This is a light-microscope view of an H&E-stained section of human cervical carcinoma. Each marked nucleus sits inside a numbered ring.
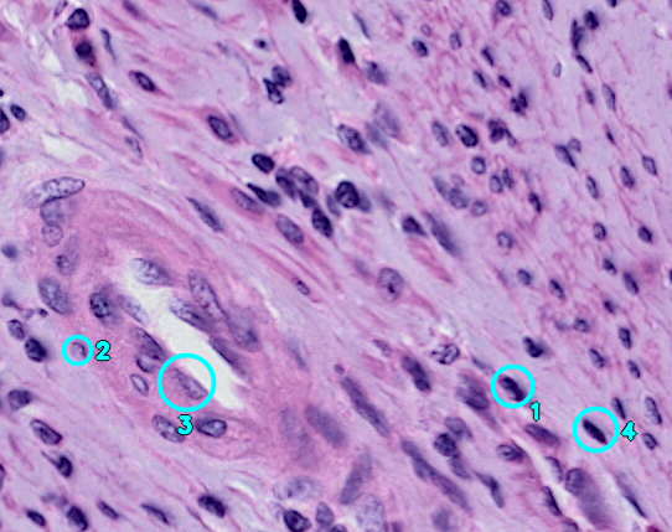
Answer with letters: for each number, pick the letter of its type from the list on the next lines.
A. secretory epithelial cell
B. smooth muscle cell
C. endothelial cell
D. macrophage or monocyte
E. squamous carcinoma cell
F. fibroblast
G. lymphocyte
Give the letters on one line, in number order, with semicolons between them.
G; B; C; G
